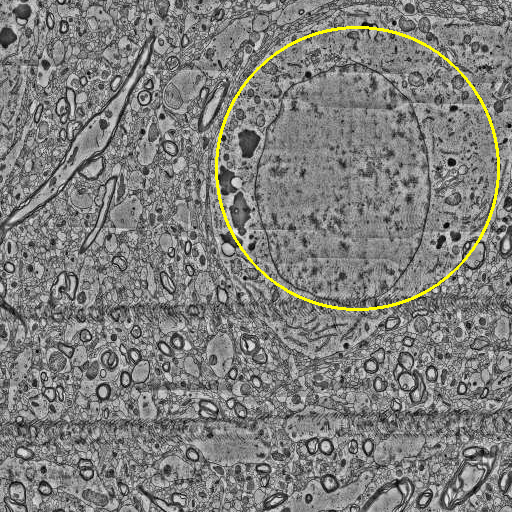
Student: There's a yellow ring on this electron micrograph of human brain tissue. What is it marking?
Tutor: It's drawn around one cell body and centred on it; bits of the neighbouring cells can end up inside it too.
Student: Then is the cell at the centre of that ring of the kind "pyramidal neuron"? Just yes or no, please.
yes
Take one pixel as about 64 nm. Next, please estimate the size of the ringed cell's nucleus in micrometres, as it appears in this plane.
About 15 by 11 micrometres in this plane.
